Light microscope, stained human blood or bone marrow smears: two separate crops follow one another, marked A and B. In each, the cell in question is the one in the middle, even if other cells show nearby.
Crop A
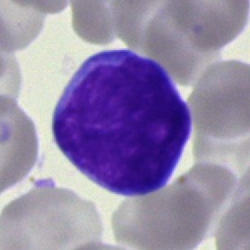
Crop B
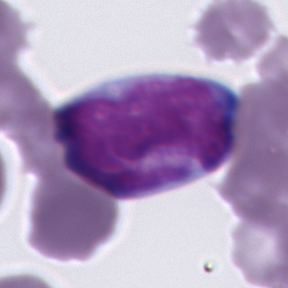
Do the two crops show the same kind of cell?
yes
